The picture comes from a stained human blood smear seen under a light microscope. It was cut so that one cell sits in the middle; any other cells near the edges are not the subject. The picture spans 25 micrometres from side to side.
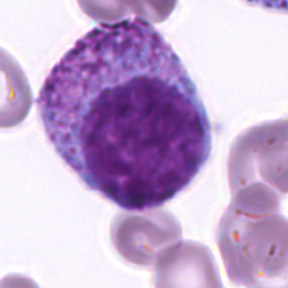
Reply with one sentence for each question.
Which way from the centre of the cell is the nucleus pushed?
It is shifted toward the lower right of the cell.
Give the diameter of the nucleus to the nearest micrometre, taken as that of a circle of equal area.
It measures about 11 micrometres across.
